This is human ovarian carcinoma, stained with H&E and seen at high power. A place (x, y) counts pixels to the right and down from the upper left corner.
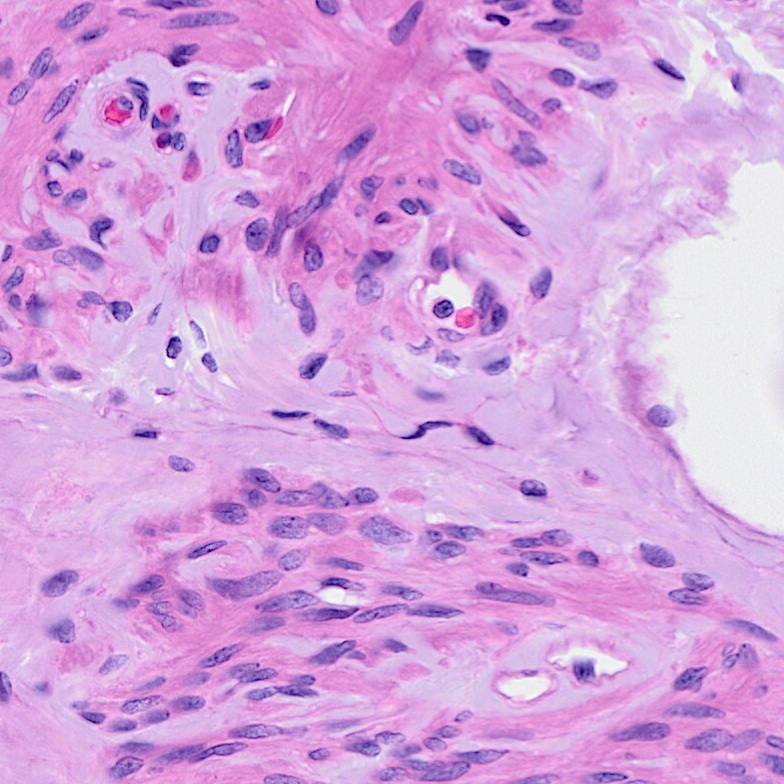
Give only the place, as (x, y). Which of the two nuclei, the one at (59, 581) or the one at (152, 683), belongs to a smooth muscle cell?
(152, 683)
